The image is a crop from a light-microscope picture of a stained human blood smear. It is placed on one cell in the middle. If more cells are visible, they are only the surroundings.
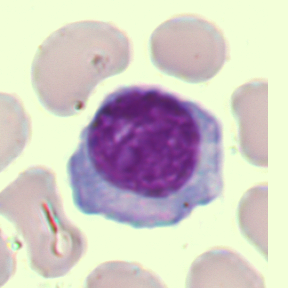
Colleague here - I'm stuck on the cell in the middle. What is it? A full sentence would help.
In the central position of this crop, the cell is a plasma cell.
